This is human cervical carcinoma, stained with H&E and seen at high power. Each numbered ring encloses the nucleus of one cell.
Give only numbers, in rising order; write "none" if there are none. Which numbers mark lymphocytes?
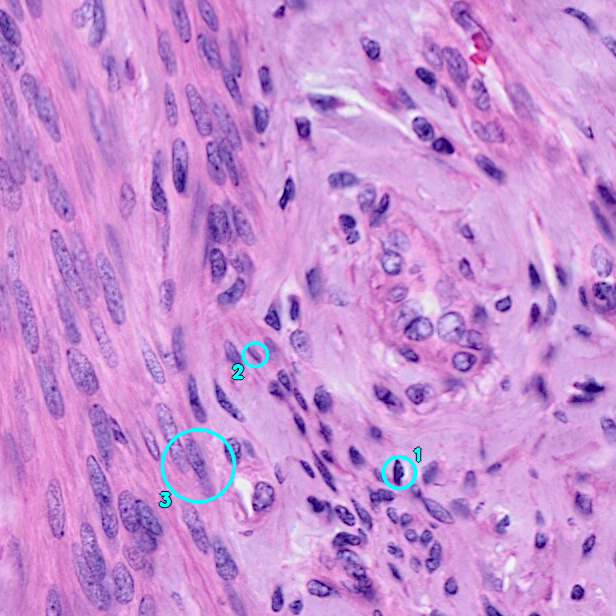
1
